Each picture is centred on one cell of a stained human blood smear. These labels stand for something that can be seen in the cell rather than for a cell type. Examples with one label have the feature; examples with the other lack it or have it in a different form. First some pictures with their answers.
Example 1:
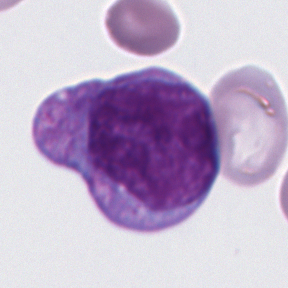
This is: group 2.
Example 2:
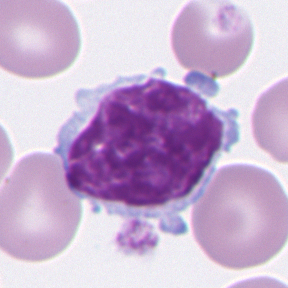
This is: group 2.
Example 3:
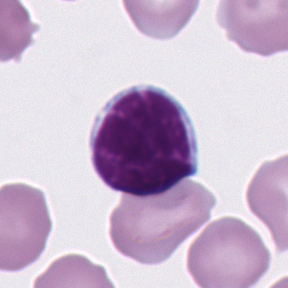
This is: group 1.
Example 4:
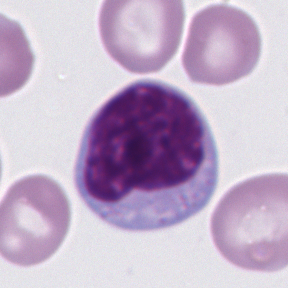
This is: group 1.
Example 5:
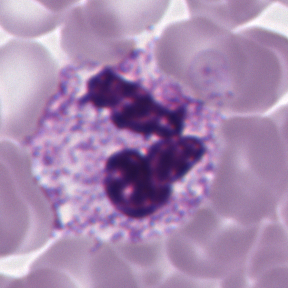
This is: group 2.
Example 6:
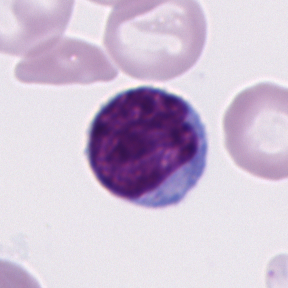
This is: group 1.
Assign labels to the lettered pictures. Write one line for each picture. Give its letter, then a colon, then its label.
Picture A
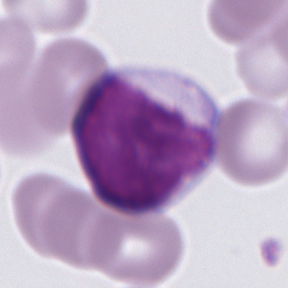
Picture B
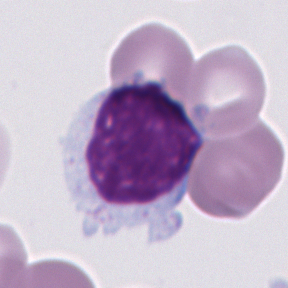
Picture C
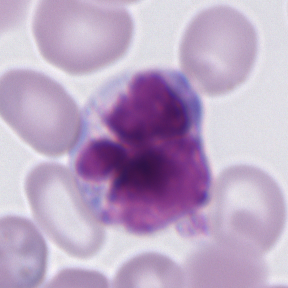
A: group 1.
B: group 2.
C: group 2.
